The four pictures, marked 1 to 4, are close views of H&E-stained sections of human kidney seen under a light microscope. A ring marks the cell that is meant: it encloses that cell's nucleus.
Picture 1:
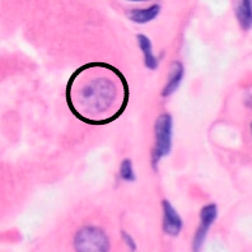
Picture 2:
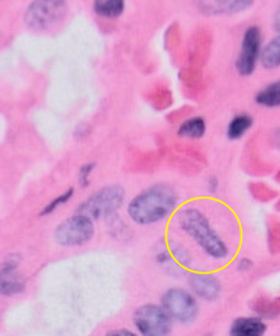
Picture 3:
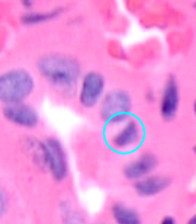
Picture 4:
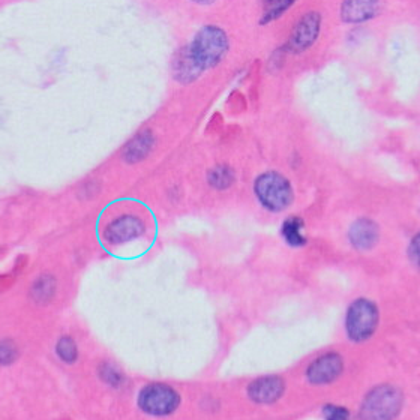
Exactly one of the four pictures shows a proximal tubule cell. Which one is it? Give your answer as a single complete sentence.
The cell in picture 1 is the proximal tubule cell.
